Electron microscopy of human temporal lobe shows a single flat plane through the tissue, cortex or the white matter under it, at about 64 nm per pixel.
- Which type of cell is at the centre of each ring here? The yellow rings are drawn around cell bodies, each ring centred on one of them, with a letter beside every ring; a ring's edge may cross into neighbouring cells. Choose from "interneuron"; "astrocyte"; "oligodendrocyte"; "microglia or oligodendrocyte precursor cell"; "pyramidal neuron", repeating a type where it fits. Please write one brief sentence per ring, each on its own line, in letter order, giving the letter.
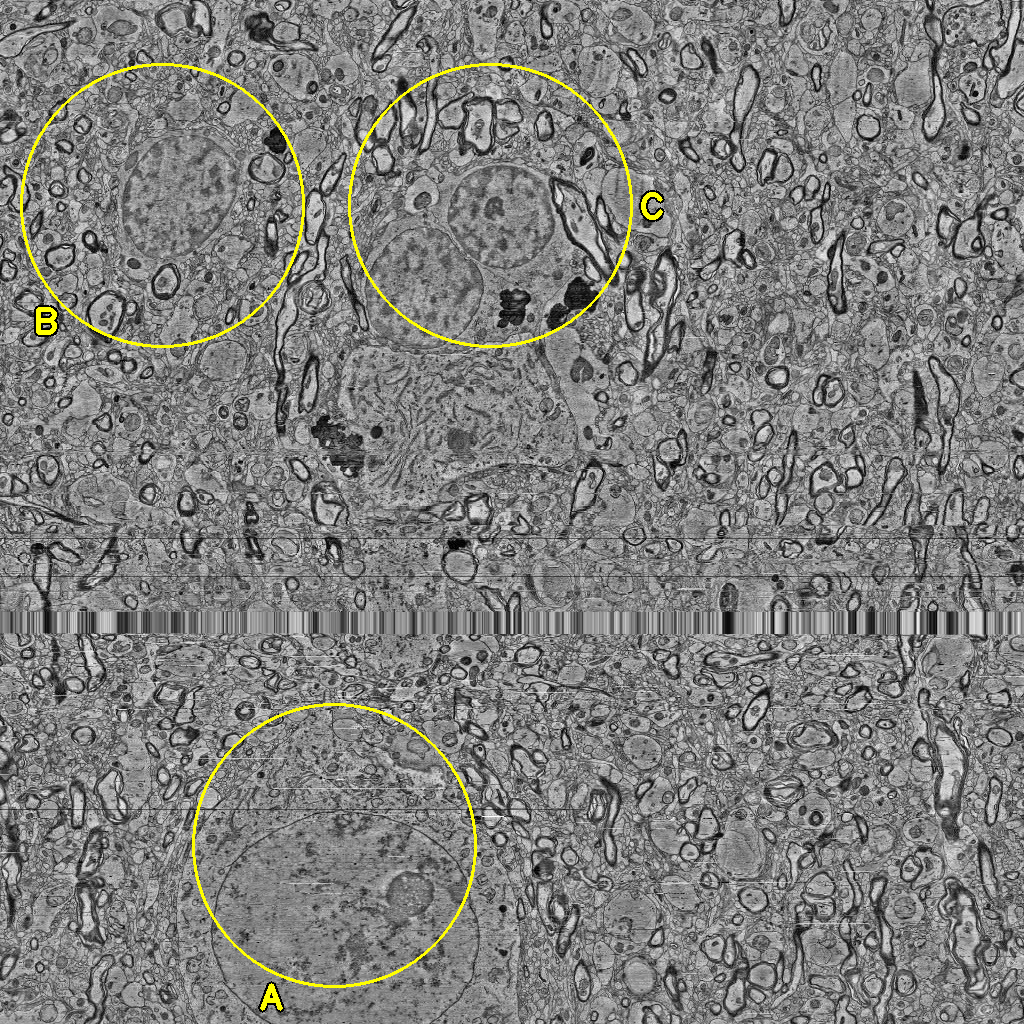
Ring A is centred over a pyramidal neuron.
Ring B is centred over an oligodendrocyte.
Ring C is centred over an oligodendrocyte.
